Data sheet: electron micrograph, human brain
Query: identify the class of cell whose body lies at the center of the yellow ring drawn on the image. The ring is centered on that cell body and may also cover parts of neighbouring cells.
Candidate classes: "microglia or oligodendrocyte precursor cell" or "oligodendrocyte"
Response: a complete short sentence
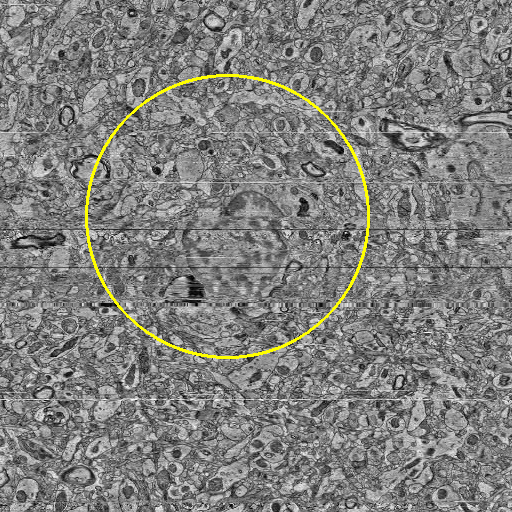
At the center of the ring lies an oligodendrocyte.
